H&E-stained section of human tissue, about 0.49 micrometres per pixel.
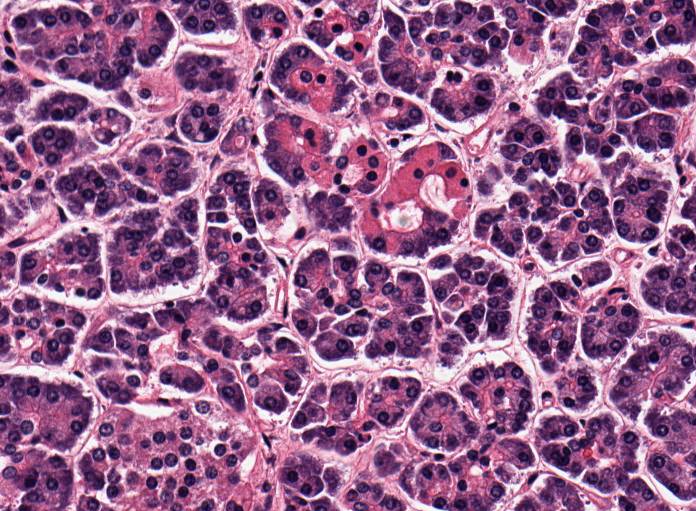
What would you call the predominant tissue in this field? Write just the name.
exocrine pancreas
